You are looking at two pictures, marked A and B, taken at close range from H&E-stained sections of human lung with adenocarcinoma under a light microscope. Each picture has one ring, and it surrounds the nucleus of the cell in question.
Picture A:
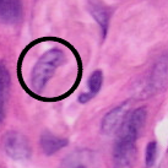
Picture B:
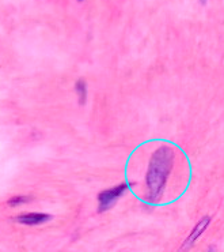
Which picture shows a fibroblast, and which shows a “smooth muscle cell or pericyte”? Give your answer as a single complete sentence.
Picture B shows a “smooth muscle cell or pericyte”, while picture A shows a fibroblast.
